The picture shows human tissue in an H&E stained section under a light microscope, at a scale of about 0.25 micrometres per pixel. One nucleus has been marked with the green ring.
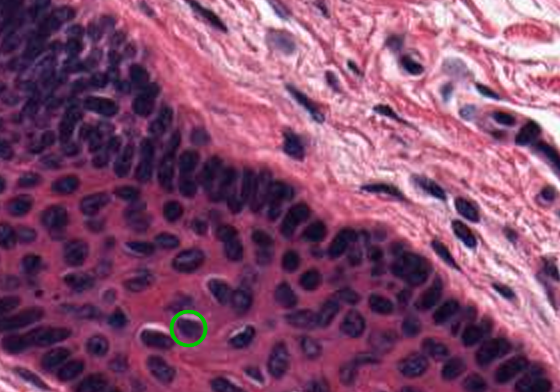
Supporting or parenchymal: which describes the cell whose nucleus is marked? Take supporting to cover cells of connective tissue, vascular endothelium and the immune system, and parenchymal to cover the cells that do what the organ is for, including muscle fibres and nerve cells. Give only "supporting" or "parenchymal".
parenchymal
